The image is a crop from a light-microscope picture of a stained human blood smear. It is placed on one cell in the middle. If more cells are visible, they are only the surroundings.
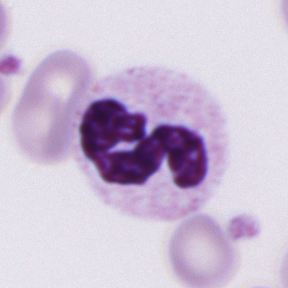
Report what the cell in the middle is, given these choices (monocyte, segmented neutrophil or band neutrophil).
segmented neutrophil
